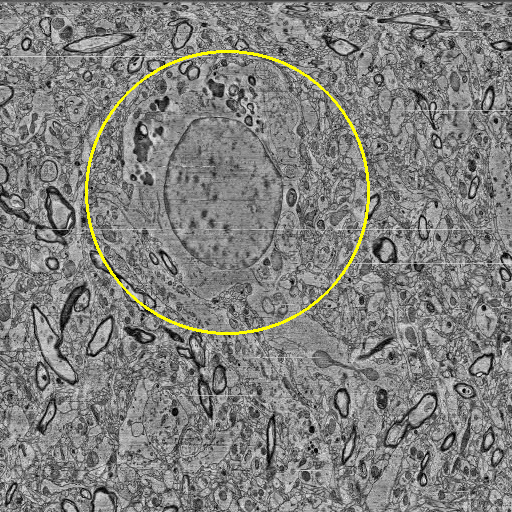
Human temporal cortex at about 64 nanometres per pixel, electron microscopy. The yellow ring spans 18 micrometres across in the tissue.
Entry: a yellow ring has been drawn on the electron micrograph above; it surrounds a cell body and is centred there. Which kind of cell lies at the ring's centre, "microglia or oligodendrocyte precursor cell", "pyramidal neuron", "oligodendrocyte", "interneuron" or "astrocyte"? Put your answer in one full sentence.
The cell sitting at the ring's centre is an astrocyte in the micrograph above.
